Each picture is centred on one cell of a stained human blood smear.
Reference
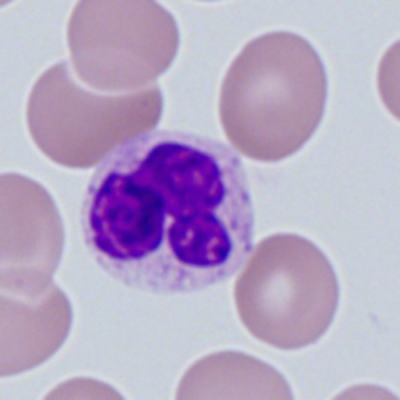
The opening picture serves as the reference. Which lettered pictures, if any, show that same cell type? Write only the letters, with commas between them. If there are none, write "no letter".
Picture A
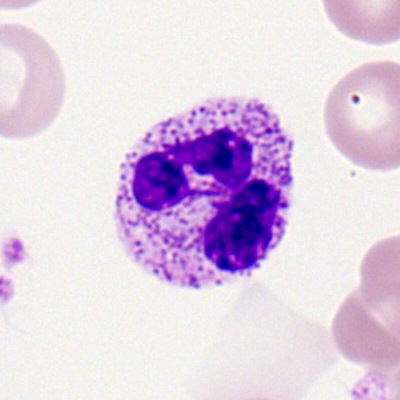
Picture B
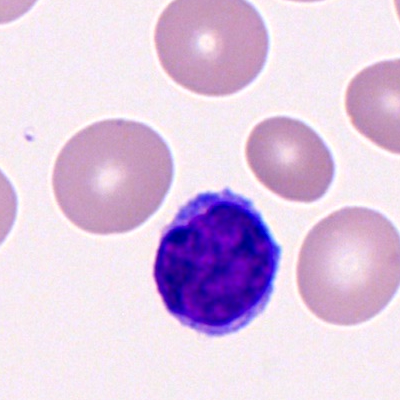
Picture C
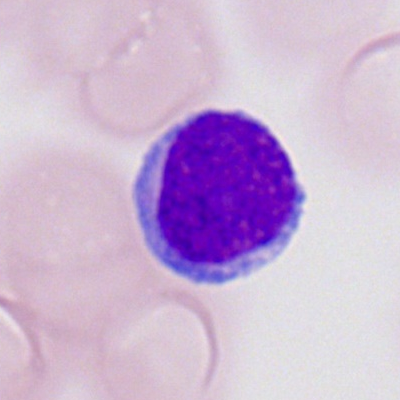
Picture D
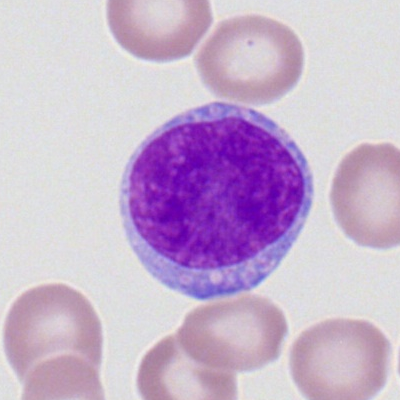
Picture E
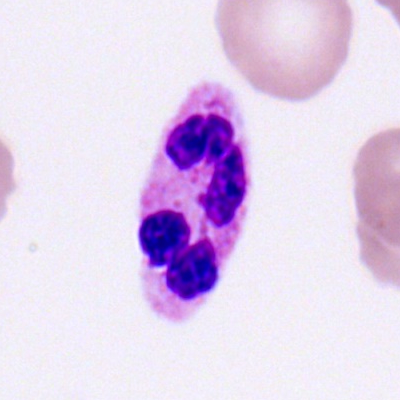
A, E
